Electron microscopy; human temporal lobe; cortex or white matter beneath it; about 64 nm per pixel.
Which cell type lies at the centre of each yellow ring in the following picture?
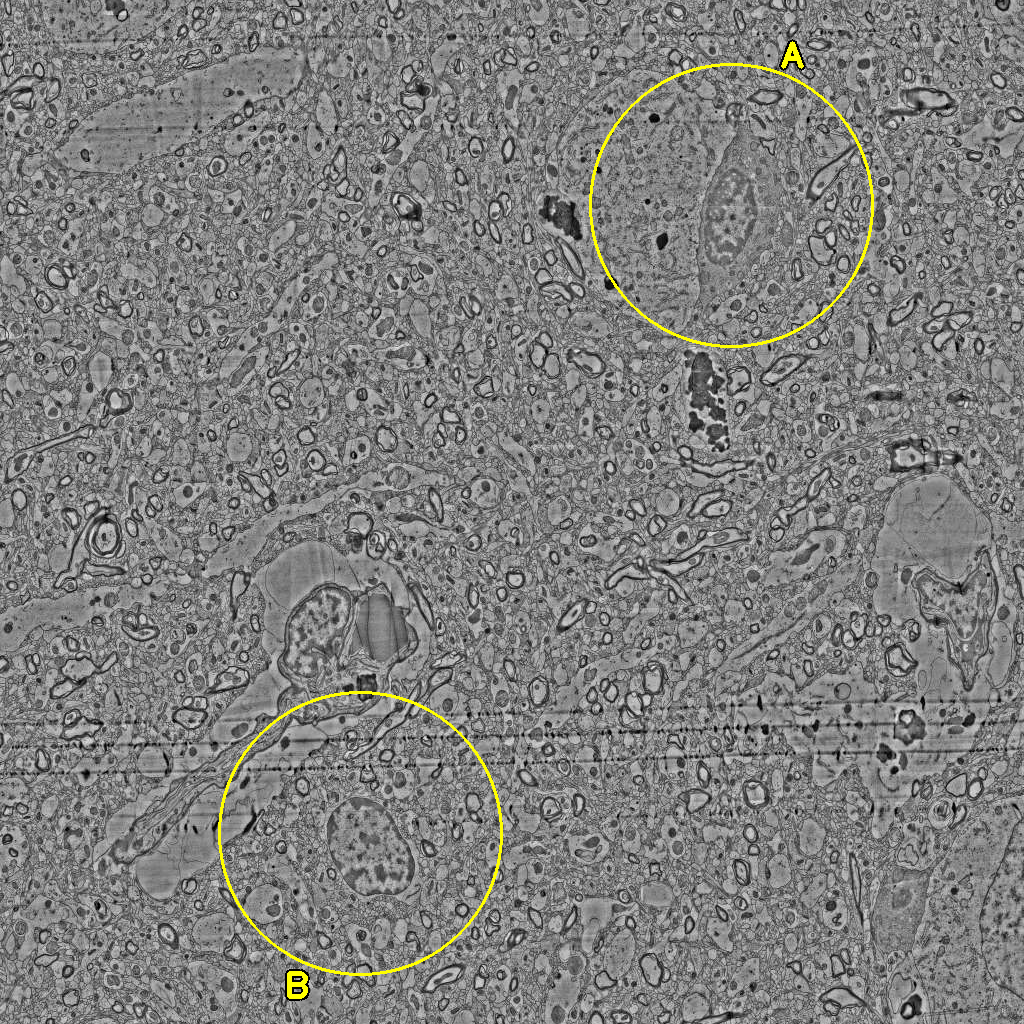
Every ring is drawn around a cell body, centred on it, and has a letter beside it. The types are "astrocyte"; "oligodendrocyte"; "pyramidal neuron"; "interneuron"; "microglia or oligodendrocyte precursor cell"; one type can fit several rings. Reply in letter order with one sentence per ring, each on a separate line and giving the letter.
Ring A marks the cell body of an oligodendrocyte.
Ring B marks the cell body of a microglial cell or oligodendrocyte precursor cell.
